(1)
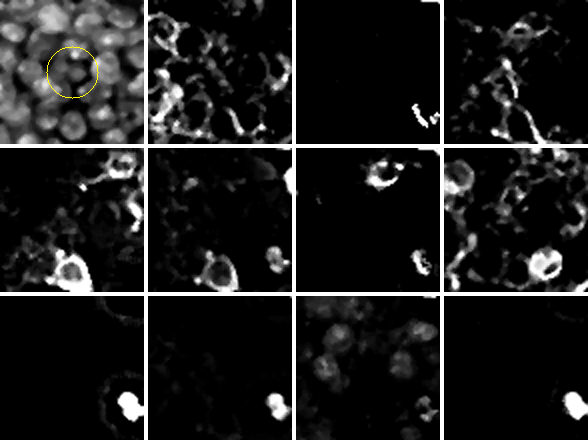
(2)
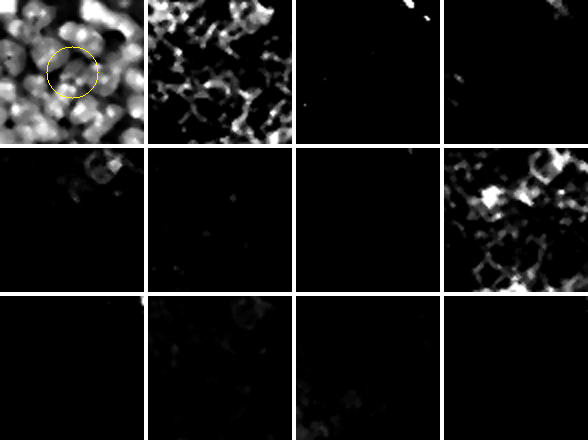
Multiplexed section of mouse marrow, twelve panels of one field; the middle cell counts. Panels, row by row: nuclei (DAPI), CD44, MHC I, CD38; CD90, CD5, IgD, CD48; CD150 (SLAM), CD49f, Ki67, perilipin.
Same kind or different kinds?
Same: neutrophils.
